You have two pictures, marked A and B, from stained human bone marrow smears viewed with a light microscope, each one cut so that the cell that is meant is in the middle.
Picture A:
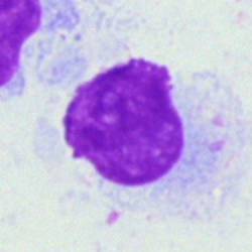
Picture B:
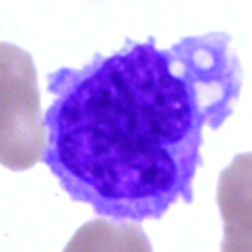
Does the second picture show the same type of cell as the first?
no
